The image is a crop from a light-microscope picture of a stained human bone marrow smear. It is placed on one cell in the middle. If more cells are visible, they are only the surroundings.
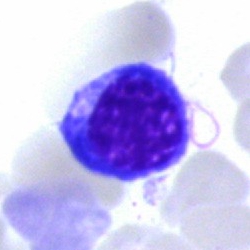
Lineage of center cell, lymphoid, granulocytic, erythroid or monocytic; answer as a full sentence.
The central cell is regarded as belonging to the erythroid lineage.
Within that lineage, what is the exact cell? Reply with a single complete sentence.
Here the centrally located cell is an erythroblast.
